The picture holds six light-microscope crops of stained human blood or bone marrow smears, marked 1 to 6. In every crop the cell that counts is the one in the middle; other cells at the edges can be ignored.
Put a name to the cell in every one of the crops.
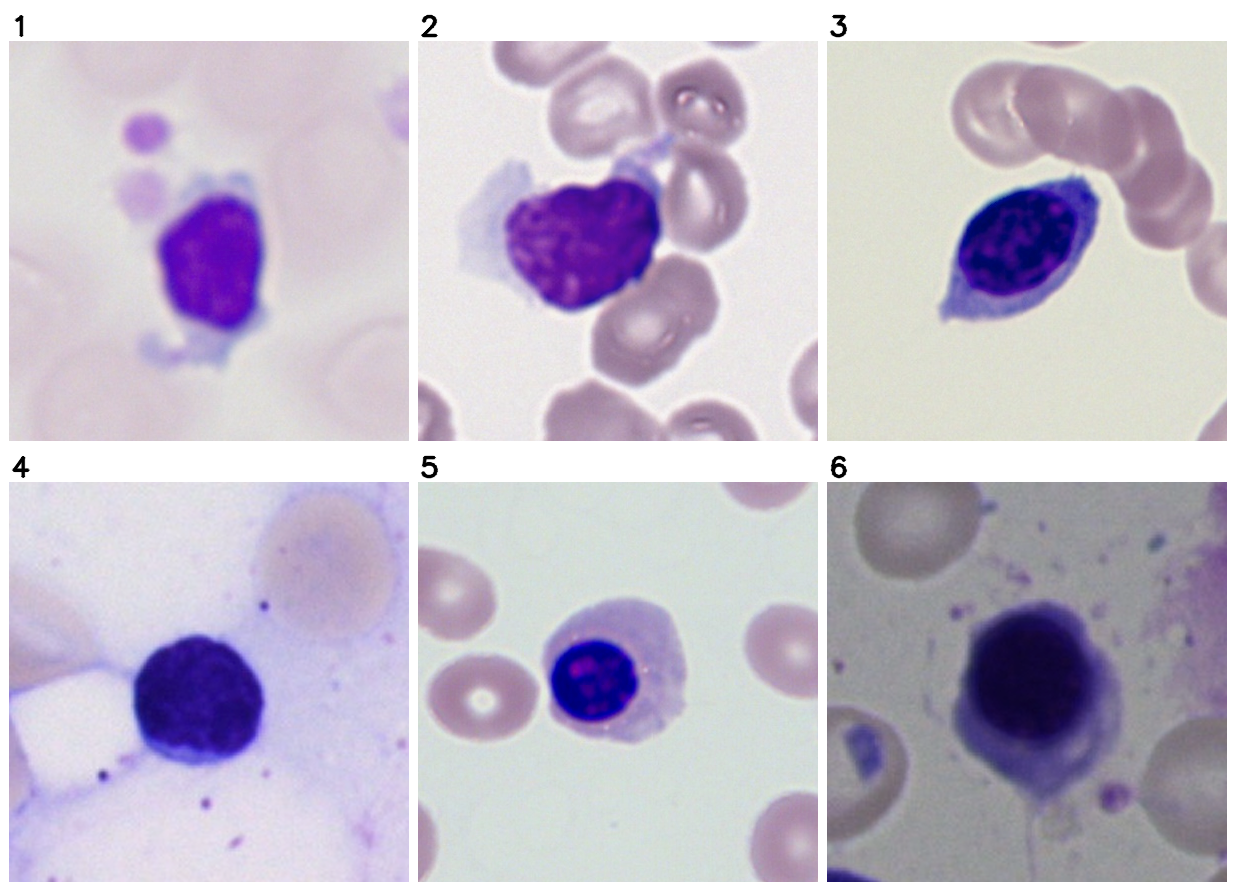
1: lymphocyte
2: lymphocyte
3: lymphocyte
4: lymphocyte
5: erythroblast
6: erythroblast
